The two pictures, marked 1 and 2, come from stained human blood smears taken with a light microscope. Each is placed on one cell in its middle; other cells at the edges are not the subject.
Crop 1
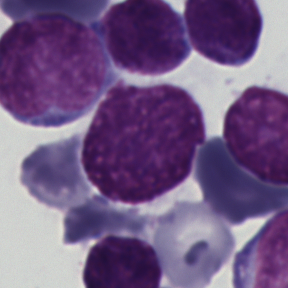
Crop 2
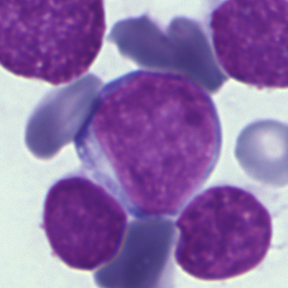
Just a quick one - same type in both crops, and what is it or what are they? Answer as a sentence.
Yes, both crops are centred on myeloblasts.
